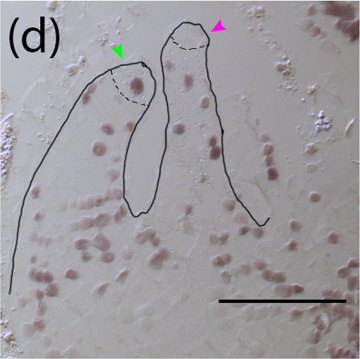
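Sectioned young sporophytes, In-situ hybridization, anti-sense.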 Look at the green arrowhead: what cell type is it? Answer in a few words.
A: Leaf apical cell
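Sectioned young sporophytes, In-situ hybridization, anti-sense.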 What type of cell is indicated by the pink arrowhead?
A: shoot apical cell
